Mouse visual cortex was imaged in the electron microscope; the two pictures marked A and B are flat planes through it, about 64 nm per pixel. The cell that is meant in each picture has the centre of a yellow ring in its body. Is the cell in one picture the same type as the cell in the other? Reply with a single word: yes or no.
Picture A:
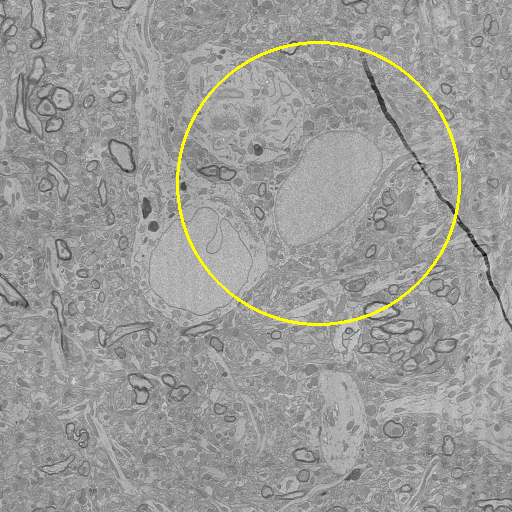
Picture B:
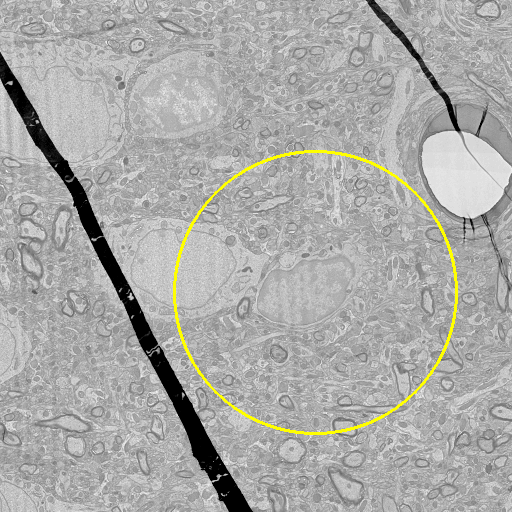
no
